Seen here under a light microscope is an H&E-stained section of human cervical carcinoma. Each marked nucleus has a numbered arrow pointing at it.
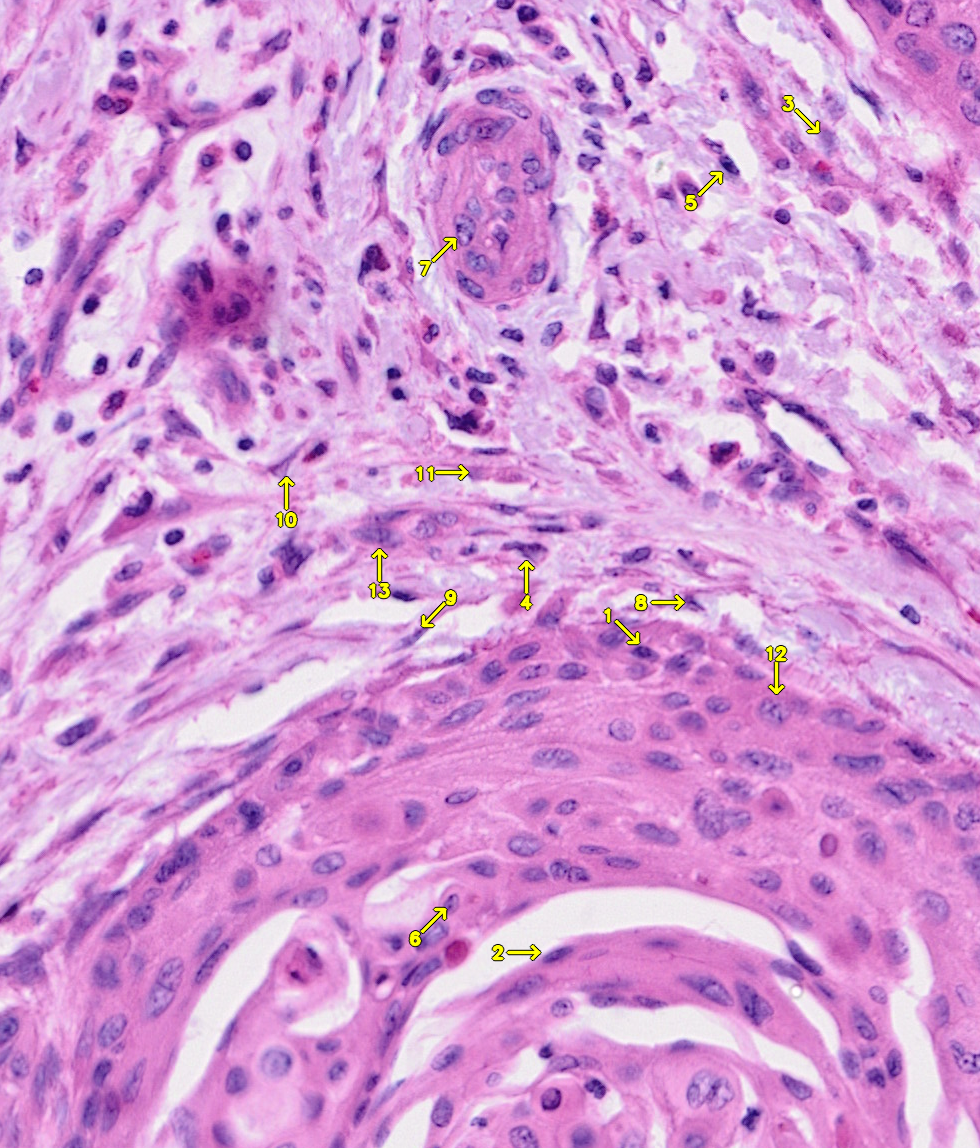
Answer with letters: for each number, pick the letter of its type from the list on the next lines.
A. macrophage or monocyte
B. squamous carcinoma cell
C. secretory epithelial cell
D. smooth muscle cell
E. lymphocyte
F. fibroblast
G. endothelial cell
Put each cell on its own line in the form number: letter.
1: B
2: B
3: F
4: F
5: E
6: B
7: D
8: F
9: F
10: F
11: F
12: B
13: G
